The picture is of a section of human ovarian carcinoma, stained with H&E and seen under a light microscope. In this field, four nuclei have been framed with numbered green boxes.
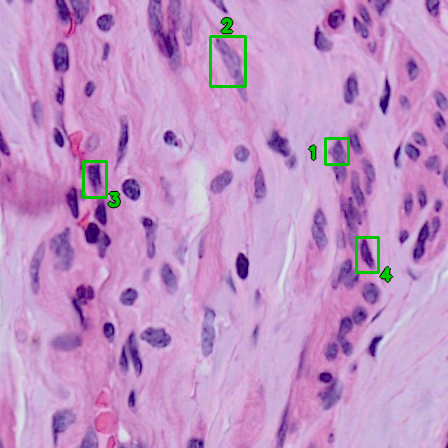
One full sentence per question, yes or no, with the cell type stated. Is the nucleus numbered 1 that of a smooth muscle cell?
Yes, the one with the number 1 is a smooth muscle cell.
